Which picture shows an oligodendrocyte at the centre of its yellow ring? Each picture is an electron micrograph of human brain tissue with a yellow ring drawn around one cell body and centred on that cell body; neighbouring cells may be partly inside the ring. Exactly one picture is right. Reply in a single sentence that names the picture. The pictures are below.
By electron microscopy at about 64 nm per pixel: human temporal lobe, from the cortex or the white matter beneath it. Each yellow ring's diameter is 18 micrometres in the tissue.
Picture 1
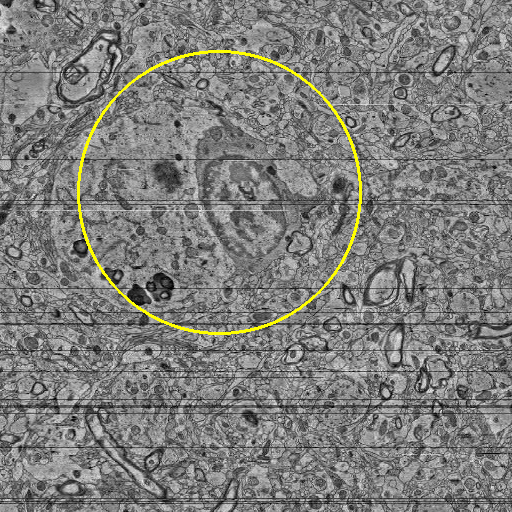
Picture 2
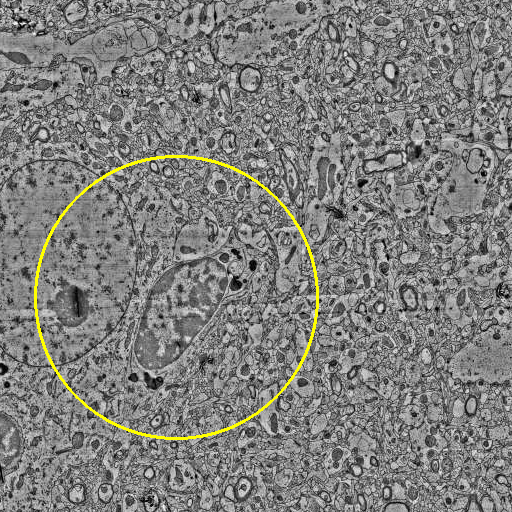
Picture 1 shows it.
